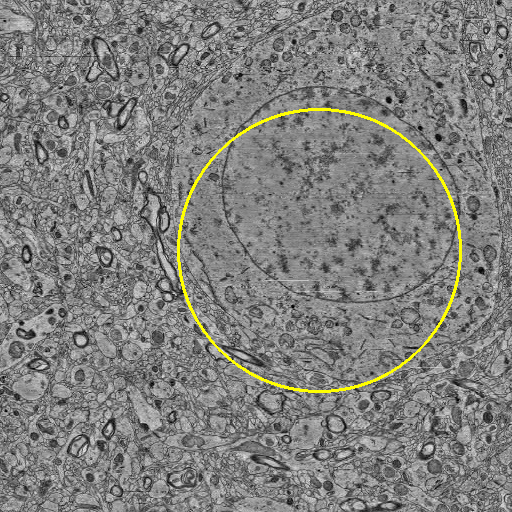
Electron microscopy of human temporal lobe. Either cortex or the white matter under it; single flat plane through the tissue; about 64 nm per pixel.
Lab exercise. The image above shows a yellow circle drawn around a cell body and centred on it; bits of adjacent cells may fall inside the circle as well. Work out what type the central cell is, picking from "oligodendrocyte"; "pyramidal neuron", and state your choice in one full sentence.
In the image above, the cell at the centre of the yellow circle is a pyramidal neuron.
